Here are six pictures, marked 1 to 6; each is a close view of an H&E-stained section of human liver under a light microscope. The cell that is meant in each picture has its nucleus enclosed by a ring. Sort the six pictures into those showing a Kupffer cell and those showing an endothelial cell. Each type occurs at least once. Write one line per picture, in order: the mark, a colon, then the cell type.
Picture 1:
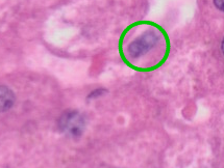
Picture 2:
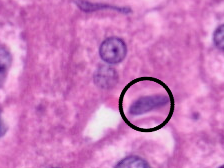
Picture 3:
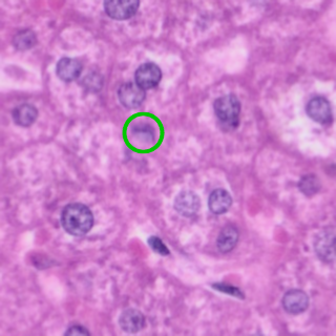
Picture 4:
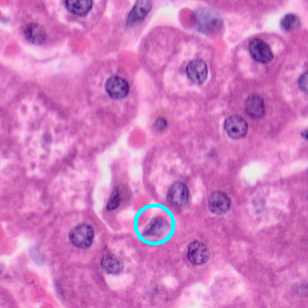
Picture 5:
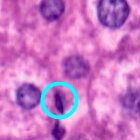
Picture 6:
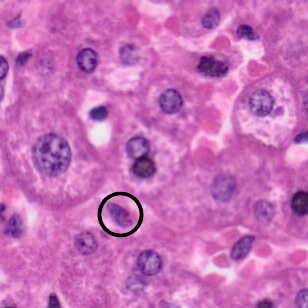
1: Kupffer cell
2: Kupffer cell
3: endothelial cell
4: endothelial cell
5: endothelial cell
6: Kupffer cell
